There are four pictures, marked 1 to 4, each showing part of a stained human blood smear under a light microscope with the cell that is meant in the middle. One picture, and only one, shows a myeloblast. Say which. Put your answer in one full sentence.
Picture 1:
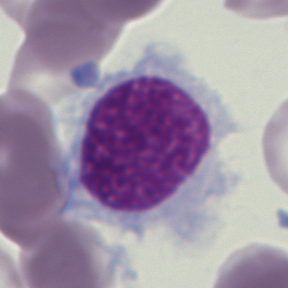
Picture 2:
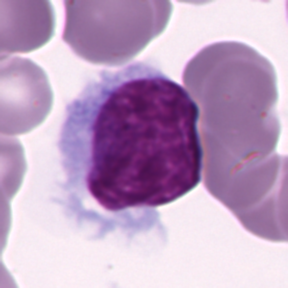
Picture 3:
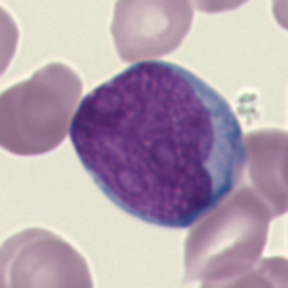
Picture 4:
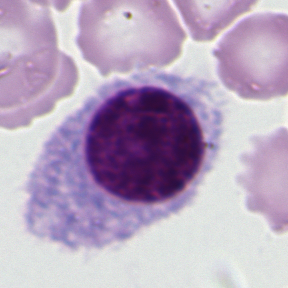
The myeloblast is the one in picture 3.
